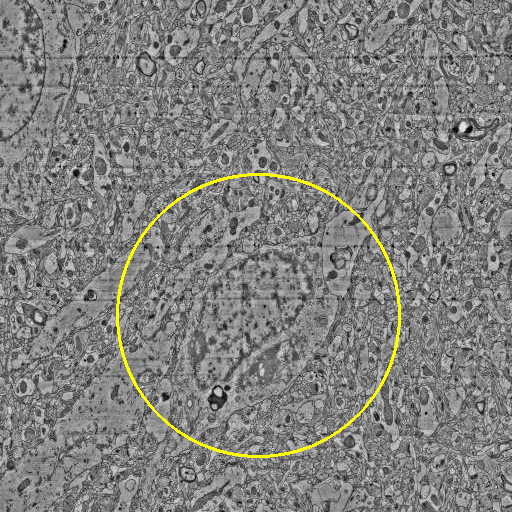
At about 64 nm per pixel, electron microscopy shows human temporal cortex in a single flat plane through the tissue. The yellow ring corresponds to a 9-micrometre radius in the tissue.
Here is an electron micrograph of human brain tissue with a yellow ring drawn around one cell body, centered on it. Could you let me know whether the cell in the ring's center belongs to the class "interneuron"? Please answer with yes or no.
yes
